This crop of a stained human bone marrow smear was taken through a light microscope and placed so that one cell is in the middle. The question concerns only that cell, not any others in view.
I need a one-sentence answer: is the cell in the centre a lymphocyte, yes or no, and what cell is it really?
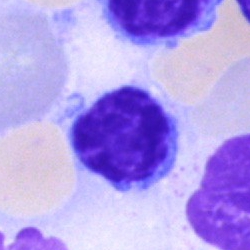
Yes, as regards the cell in the middle, it is a lymphocyte.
